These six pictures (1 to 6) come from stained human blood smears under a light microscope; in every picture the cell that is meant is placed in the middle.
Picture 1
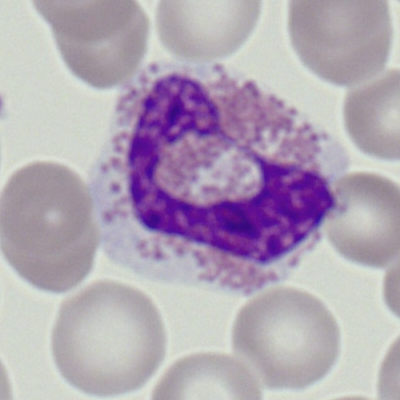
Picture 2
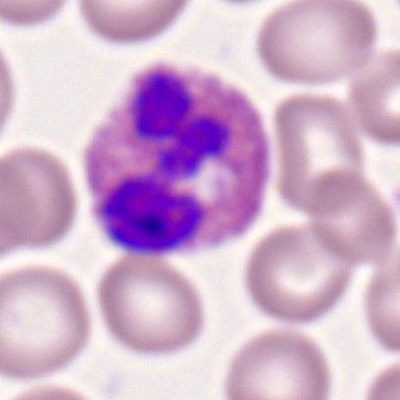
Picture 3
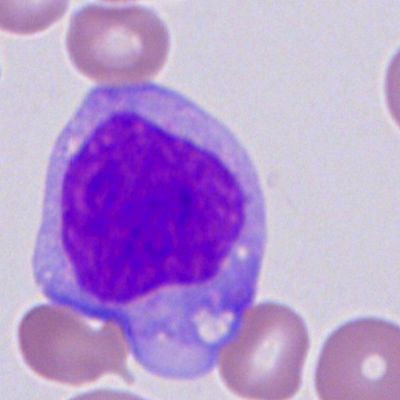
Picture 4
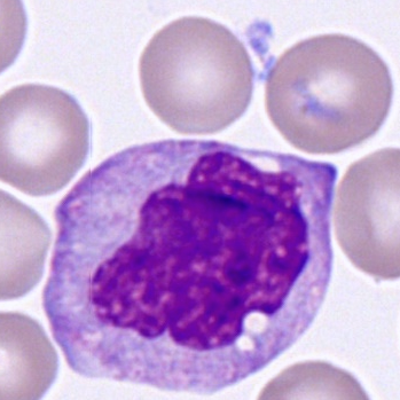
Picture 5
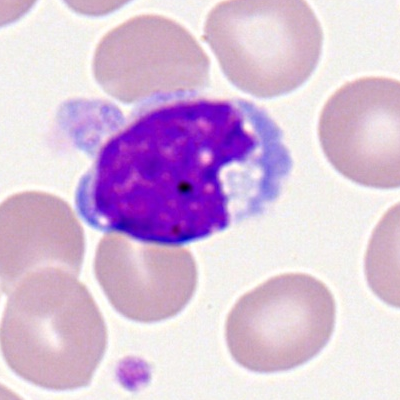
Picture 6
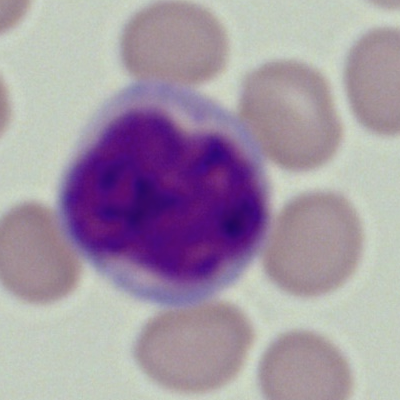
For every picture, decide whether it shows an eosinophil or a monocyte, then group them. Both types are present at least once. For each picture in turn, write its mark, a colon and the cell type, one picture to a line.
1: eosinophil
2: eosinophil
3: monocyte
4: monocyte
5: monocyte
6: monocyte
